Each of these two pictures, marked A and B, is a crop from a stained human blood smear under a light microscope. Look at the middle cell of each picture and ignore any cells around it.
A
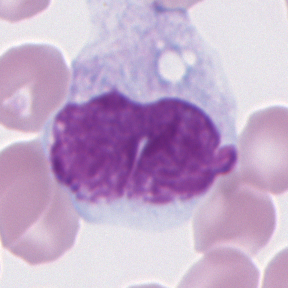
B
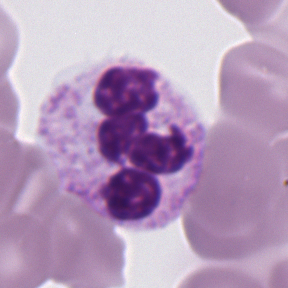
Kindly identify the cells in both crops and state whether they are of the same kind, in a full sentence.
No, what crop A shows is a monocyte, and what crop B shows is a segmented neutrophil.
